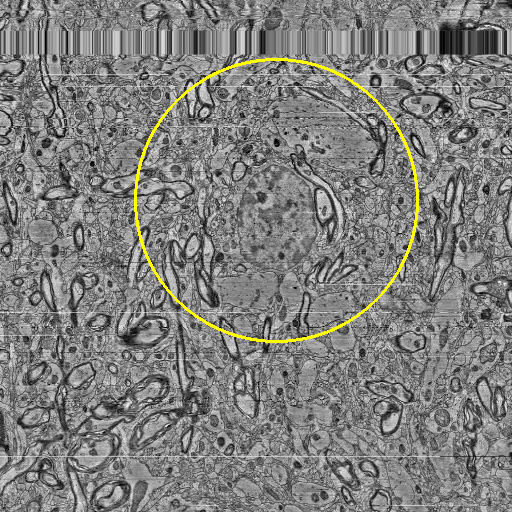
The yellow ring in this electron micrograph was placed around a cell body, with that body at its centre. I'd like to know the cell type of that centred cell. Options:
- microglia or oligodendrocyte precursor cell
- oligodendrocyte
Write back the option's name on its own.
oligodendrocyte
